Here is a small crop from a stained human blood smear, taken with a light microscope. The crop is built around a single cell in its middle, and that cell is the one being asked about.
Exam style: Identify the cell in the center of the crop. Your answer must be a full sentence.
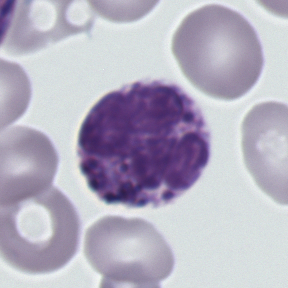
The center cell of this crop is a basophil.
